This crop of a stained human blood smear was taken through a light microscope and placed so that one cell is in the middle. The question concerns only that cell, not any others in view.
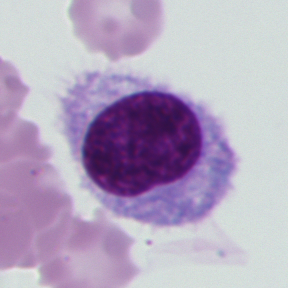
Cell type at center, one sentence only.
The target cell in the middle of the crop is a hairy cell.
